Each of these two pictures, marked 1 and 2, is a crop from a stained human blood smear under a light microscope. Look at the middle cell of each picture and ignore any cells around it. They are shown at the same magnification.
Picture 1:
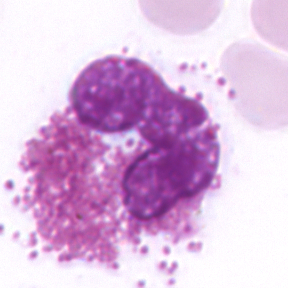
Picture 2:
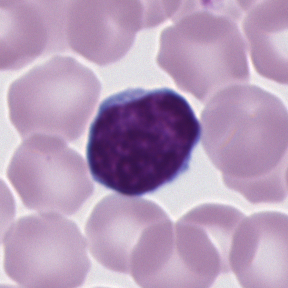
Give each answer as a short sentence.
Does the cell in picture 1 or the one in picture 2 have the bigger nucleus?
The nucleus in picture 1 is larger, with about 1.5 times the area of the one in picture 2.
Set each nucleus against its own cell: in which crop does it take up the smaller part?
The nucleus fills less of the cell in picture 1 than in picture 2.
